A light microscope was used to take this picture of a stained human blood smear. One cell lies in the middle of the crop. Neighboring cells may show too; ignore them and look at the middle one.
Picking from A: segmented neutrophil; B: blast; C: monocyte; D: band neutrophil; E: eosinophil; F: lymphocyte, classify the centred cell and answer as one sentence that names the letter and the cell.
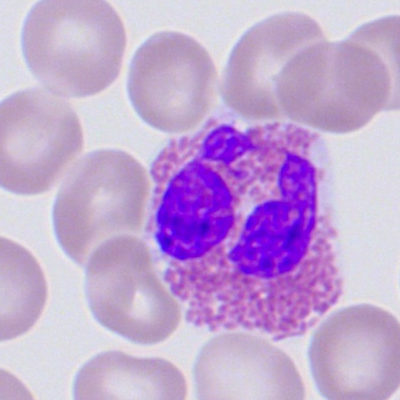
The cell centered in the crop is an eosinophil, making option E the correct pick.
